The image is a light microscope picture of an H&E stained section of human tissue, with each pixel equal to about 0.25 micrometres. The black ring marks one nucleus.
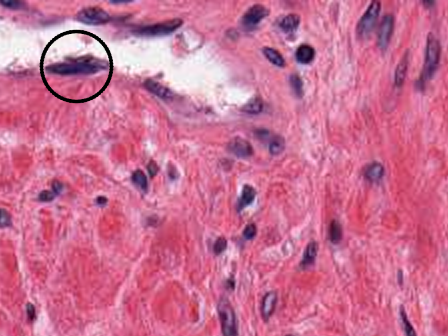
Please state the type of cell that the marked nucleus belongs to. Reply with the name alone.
endothelial cell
